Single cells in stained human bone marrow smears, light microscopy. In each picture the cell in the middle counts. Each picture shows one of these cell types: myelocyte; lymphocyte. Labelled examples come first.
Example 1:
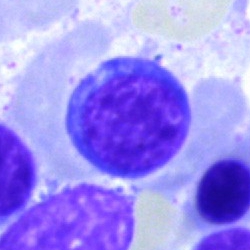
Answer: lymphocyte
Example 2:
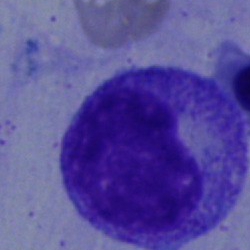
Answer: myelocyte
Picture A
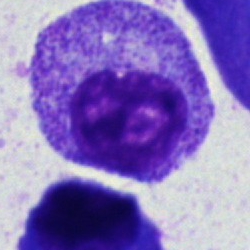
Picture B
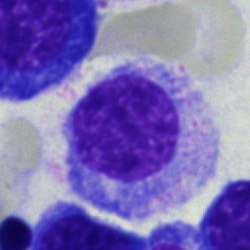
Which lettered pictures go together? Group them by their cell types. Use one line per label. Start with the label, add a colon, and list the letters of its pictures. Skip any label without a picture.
myelocyte: A, B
